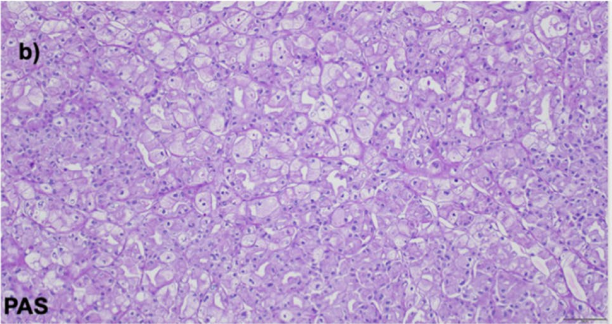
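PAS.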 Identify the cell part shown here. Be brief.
Prominent cytoplasmic membranes.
